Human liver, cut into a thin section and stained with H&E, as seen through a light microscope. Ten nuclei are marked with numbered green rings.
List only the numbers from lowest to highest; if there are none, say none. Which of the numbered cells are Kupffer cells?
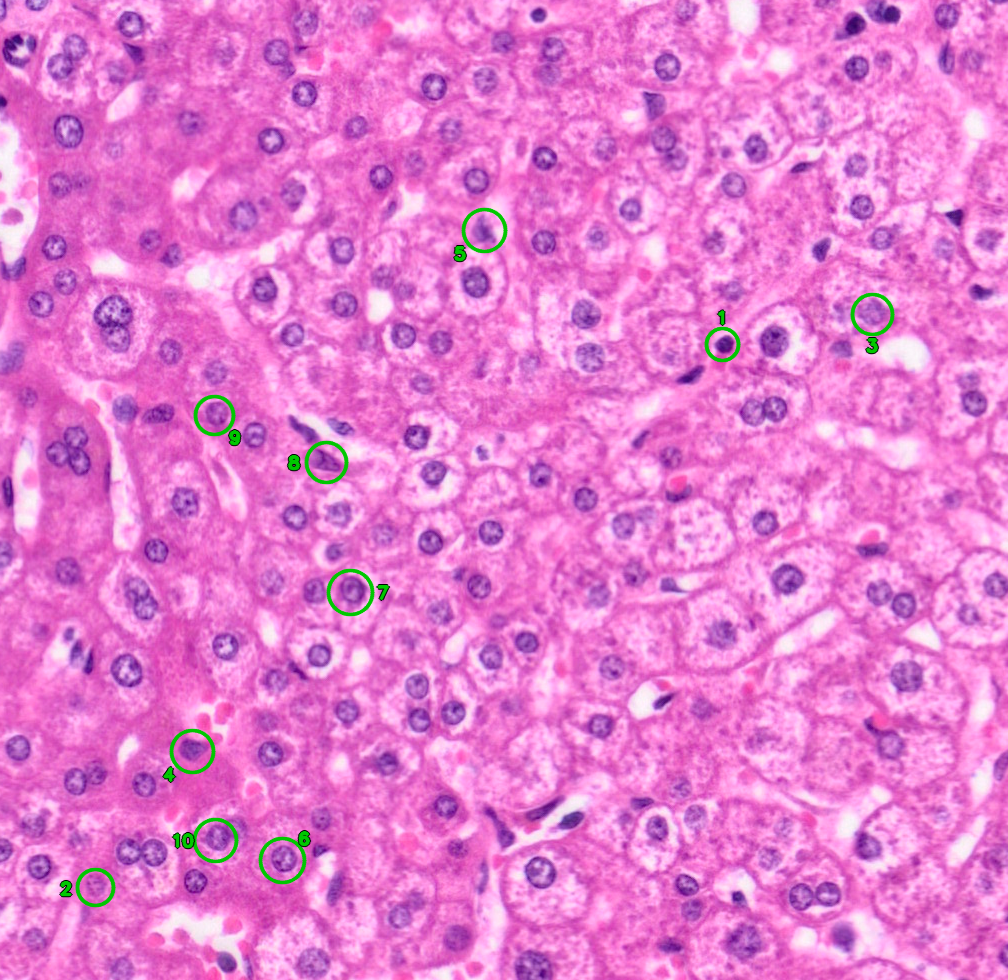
8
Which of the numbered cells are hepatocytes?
2, 3, 6, 7, 9, 10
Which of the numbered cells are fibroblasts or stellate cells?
4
